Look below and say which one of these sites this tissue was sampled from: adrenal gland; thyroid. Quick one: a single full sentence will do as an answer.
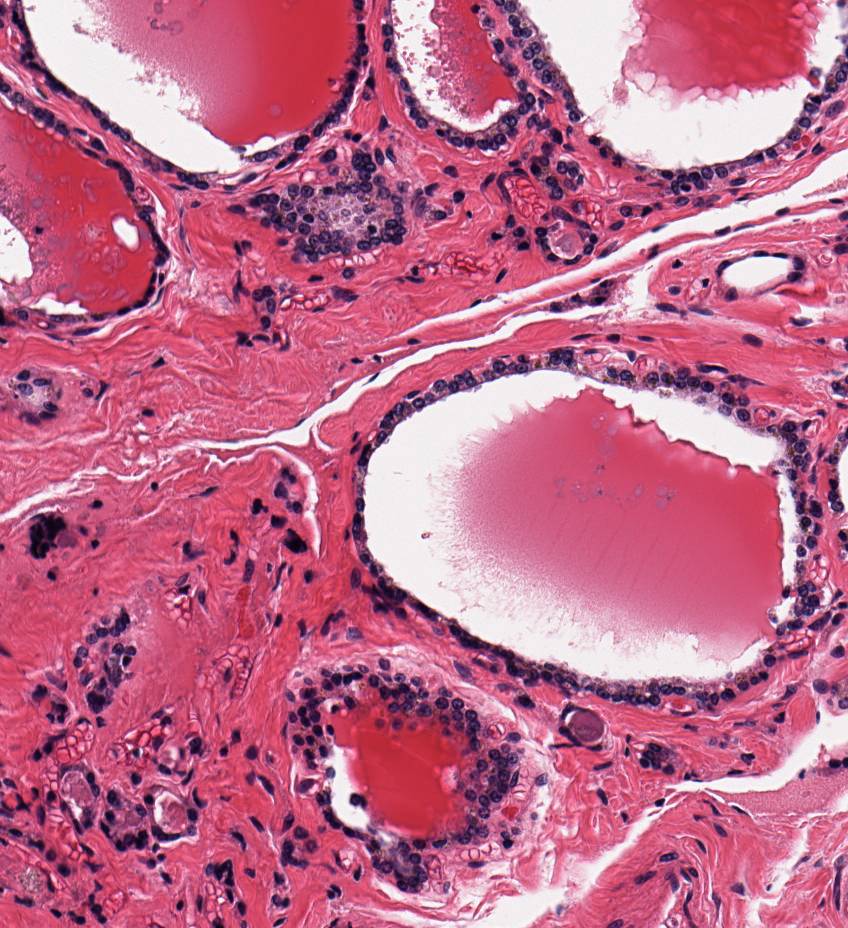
This piece of tissue was sampled from the thyroid.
